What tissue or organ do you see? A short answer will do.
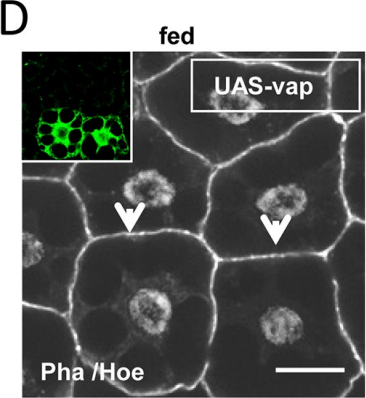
fat body cells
